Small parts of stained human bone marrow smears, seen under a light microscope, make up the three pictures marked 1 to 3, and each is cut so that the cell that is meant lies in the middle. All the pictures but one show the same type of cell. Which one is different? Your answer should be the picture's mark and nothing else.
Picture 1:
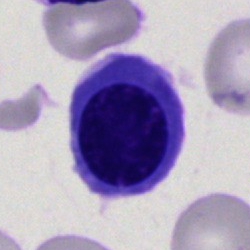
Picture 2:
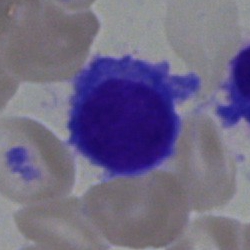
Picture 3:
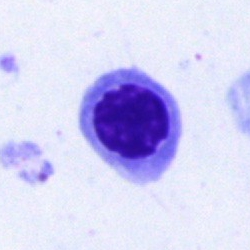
2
